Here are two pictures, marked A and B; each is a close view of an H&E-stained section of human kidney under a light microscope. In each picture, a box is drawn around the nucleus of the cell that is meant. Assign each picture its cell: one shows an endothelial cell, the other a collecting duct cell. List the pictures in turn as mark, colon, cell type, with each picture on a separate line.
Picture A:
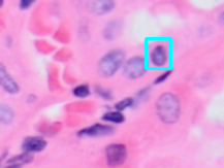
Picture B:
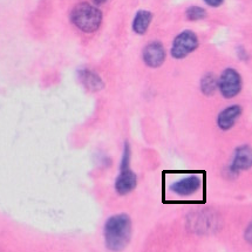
A: collecting duct cell
B: endothelial cell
